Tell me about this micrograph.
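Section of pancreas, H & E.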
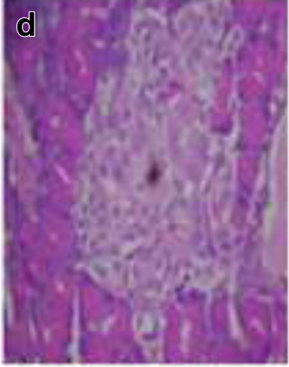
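A broad, pale, rounded cluster of cells with scattered purple nuclei fills much of the centre of the field. The pale cluster is an islet with a full complement of cells, set among exocrine acini of ordinary appearance.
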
